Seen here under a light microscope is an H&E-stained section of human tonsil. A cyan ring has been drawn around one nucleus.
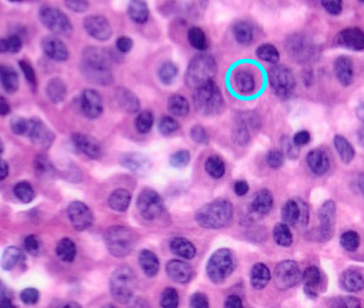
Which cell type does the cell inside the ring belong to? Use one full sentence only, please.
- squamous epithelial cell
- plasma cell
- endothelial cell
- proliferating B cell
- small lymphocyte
In this section, the cell inside the ring is a plasma cell.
